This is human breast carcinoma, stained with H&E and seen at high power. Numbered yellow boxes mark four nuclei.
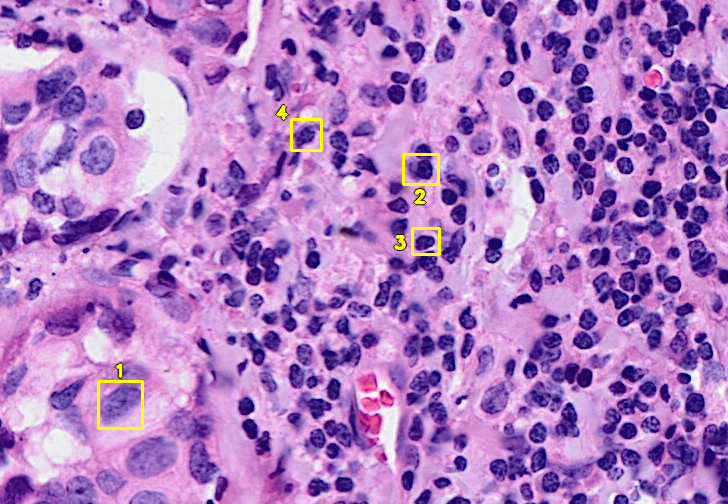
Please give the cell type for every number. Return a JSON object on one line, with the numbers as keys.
{"1": "carcinoma cell", "2": "lymphocyte", "3": "lymphocyte", "4": "lymphocyte"}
